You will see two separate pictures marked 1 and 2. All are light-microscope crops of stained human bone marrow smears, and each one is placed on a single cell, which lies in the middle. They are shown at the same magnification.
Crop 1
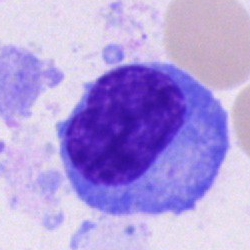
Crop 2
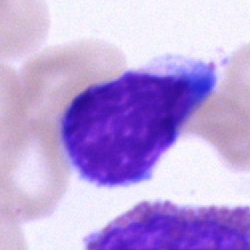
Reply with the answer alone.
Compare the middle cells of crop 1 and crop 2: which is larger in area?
1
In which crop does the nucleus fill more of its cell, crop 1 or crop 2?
2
